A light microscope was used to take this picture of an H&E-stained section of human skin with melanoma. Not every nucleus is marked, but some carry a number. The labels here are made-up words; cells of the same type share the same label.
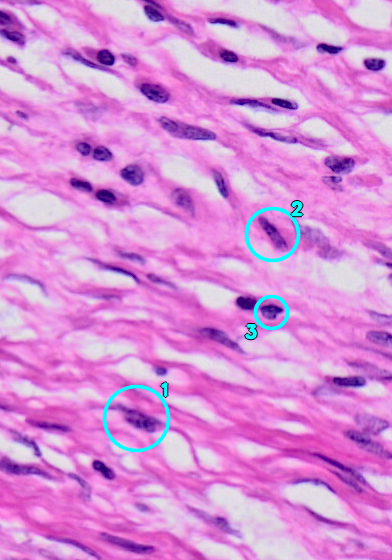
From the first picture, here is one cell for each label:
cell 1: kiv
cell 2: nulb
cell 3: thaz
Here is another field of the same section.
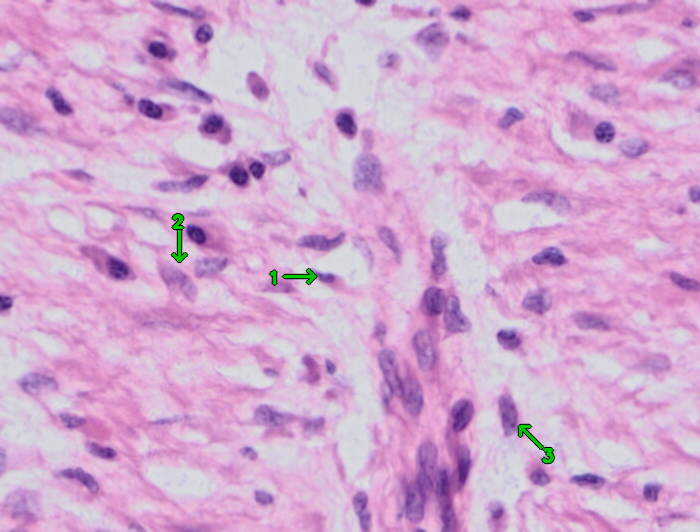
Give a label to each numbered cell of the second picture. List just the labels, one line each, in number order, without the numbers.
kiv
kiv
nulb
